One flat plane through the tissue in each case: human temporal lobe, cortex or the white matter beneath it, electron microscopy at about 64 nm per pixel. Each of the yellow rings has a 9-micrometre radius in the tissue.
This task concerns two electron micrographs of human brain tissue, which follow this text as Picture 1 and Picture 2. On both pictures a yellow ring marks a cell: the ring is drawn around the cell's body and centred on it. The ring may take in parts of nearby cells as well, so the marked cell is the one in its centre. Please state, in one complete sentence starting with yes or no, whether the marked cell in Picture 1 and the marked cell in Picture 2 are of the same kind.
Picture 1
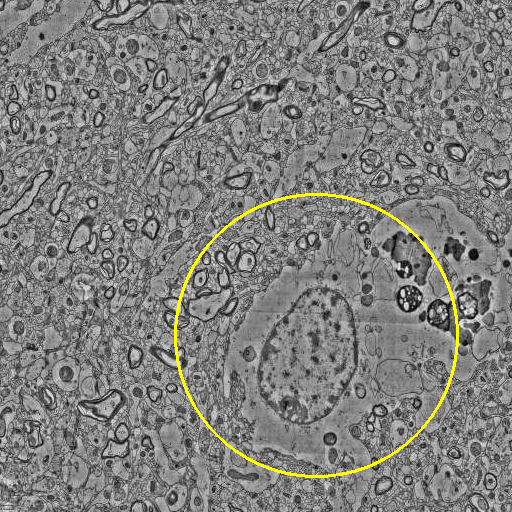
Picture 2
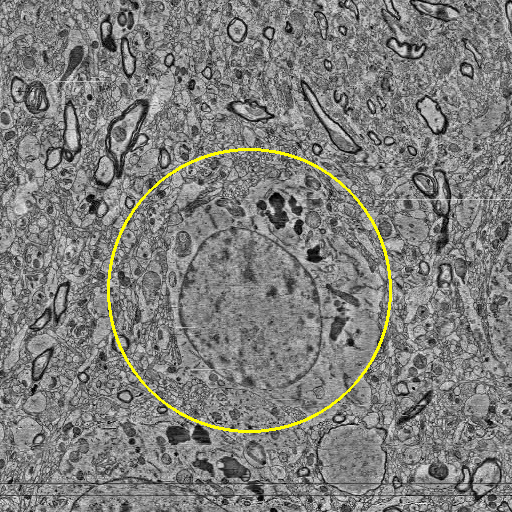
Yes, the marked cells in both pictures are of the same kind.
